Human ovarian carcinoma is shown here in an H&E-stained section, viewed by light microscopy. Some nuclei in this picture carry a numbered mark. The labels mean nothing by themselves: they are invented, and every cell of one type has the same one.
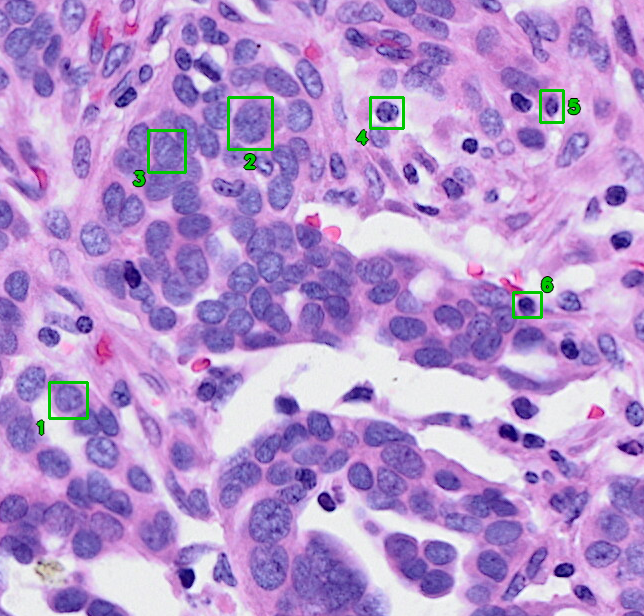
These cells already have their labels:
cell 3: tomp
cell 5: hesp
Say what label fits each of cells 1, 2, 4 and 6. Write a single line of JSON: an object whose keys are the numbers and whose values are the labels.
{"1": "tomp", "2": "tomp", "4": "hesp", "6": "hesp"}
